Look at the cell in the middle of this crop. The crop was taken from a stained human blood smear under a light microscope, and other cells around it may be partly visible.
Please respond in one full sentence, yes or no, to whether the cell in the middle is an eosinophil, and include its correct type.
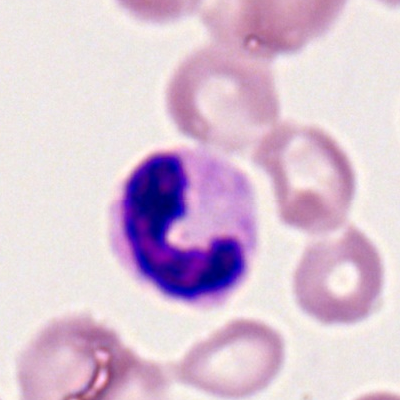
No, the cell at the center of this crop is a band neutrophil instead of an eosinophil.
